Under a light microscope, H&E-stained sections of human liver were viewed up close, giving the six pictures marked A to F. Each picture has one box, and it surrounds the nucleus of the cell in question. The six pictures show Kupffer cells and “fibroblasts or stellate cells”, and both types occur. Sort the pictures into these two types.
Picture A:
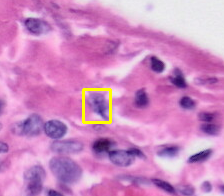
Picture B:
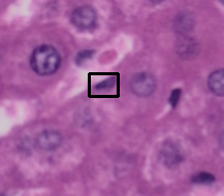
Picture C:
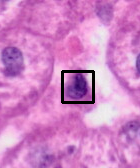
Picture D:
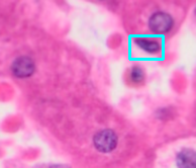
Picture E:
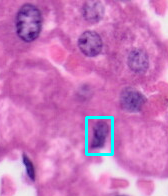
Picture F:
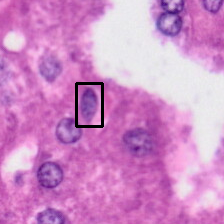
A: fibroblast or stellate cell
B: fibroblast or stellate cell
C: Kupffer cell
D: fibroblast or stellate cell
E: fibroblast or stellate cell
F: Kupffer cell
